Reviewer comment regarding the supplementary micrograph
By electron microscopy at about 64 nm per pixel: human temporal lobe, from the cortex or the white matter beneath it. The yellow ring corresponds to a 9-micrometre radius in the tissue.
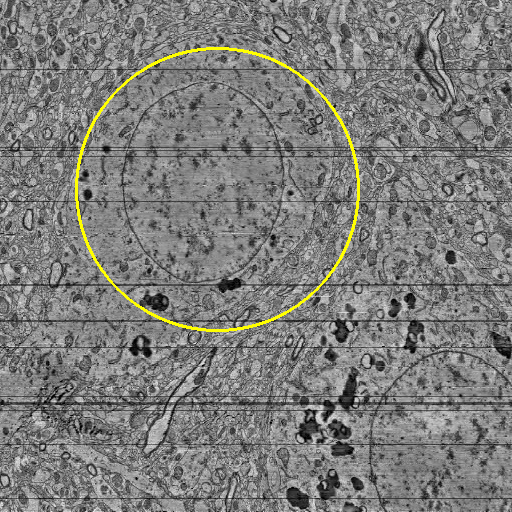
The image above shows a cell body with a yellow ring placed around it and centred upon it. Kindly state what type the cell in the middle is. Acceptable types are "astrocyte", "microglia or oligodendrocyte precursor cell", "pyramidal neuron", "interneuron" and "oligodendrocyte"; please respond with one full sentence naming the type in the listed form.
In the image above, the cell on which the yellow ring is centred is a pyramidal neuron.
